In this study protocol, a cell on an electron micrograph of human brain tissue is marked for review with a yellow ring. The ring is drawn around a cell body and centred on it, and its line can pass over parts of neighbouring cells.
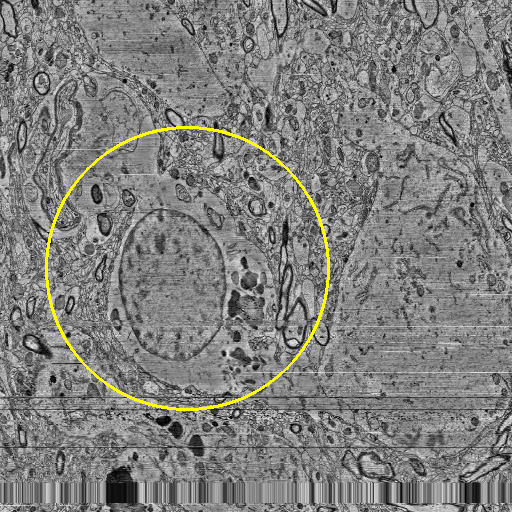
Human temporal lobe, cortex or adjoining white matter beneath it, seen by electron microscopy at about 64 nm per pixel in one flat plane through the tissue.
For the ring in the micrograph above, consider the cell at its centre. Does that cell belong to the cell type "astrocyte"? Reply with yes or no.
yes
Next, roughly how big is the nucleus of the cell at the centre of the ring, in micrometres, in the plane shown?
The nucleus works out at approximately 10 by 7 micrometres in this plane.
